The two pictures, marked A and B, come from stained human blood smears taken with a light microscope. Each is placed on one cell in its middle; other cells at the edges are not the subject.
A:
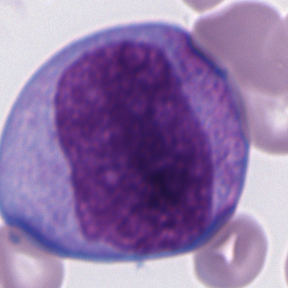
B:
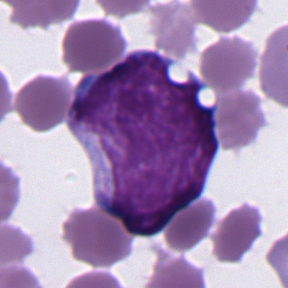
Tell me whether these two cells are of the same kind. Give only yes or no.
no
